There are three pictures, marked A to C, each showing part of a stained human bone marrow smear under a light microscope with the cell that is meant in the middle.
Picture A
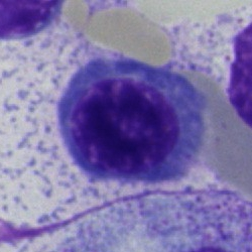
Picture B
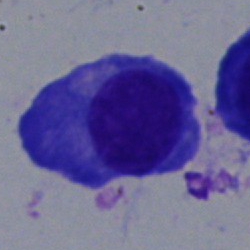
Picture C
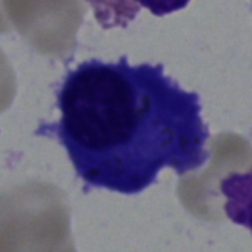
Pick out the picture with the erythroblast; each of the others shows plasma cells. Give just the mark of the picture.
A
